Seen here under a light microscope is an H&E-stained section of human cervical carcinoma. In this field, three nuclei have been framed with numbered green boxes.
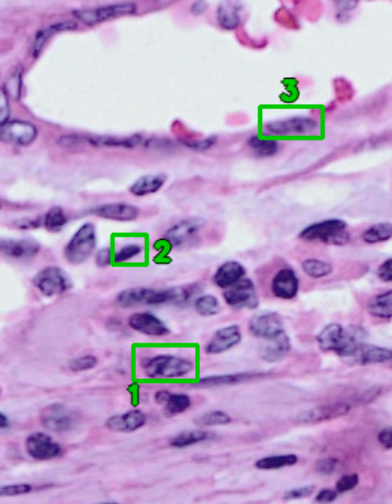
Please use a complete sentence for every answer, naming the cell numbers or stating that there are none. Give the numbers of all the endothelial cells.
Cell 3 is the only one of the numbered cells that is an endothelial cell.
